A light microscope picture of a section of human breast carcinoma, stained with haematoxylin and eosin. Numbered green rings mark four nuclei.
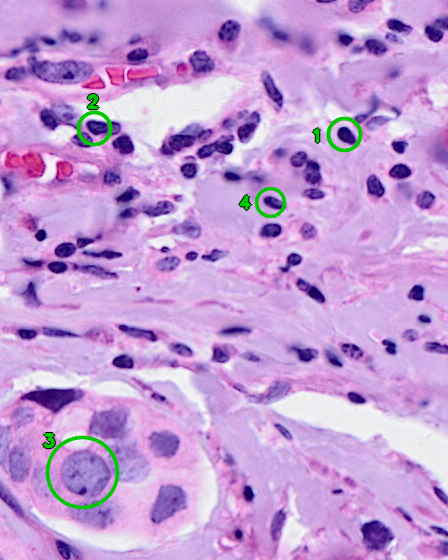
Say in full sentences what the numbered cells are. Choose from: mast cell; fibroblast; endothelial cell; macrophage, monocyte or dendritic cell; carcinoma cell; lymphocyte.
Cells 1, 2 and 4 are lymphocytes. Cell 3 is a carcinoma cell.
